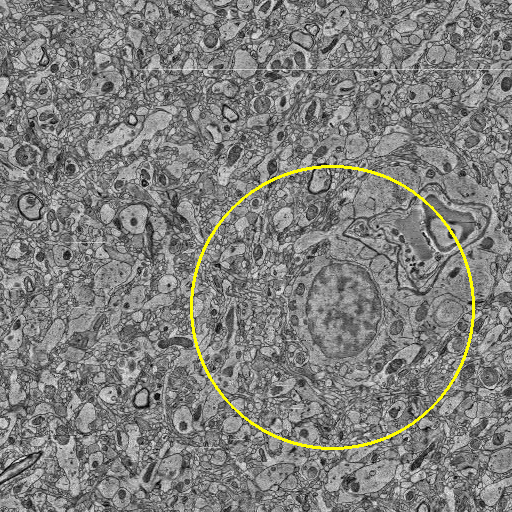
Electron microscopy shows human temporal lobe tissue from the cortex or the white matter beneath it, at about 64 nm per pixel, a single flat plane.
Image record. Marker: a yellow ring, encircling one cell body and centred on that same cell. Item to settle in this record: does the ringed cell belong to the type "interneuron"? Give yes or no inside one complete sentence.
No, in the picture, the cell centred within the yellow ring is of a different type.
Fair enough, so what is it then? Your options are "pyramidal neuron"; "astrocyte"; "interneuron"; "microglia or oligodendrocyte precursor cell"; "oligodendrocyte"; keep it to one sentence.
Instead, the cell at the centre of the ring is an oligodendrocyte.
